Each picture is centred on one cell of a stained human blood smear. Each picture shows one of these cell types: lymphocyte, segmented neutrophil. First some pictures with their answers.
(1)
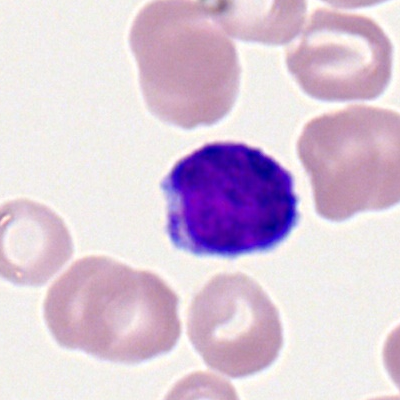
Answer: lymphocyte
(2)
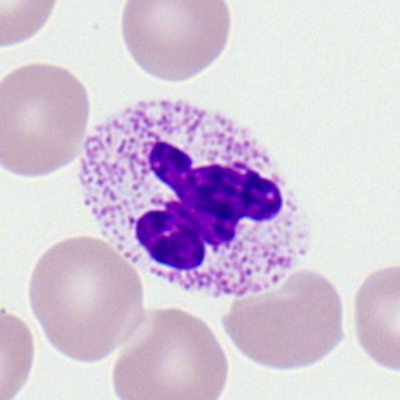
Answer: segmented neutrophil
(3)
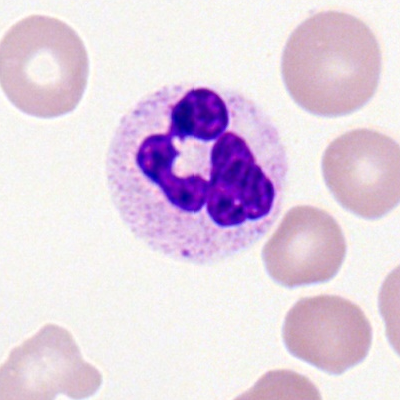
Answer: segmented neutrophil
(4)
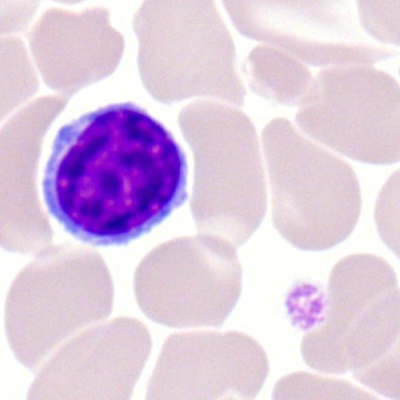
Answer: lymphocyte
